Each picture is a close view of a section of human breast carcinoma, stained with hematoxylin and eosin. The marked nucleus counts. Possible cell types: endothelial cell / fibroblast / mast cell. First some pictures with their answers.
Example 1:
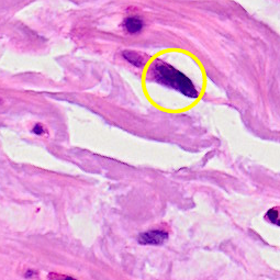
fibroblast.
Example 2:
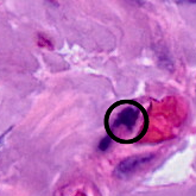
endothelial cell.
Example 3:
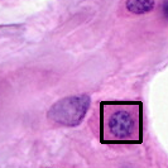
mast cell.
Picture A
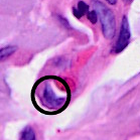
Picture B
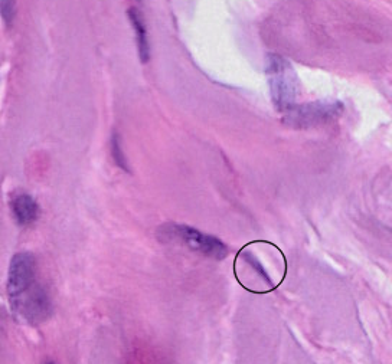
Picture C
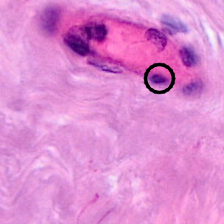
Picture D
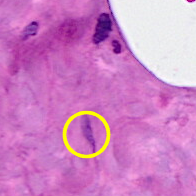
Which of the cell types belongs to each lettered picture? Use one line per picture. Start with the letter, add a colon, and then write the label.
A: endothelial cell.
B: fibroblast.
C: endothelial cell.
D: fibroblast.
